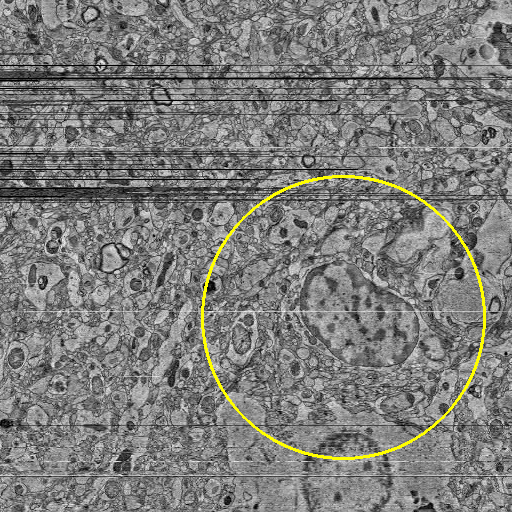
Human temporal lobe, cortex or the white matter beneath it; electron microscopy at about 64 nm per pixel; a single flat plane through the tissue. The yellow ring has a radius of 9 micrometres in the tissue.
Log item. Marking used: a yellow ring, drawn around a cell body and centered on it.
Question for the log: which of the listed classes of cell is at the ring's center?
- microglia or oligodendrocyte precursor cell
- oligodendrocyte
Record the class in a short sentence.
At the center of the ring lies a microglial cell or oligodendrocyte precursor cell.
